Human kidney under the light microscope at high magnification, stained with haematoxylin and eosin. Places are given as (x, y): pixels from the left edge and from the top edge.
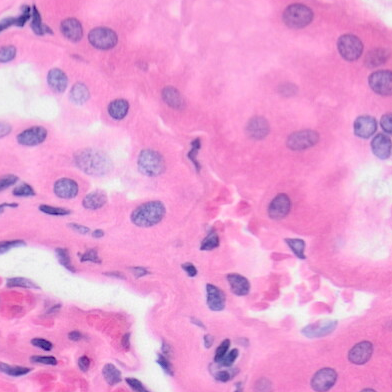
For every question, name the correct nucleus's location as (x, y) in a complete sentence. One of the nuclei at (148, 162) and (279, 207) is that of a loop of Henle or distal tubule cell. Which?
Among the two, the nucleus at (148, 162) is the nucleus of a loop of Henle or distal tubule cell.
